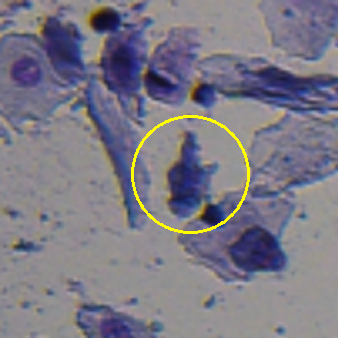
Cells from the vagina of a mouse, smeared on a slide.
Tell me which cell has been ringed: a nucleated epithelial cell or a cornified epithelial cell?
It is a cornified epithelial cell.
